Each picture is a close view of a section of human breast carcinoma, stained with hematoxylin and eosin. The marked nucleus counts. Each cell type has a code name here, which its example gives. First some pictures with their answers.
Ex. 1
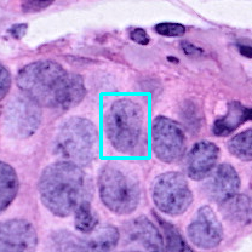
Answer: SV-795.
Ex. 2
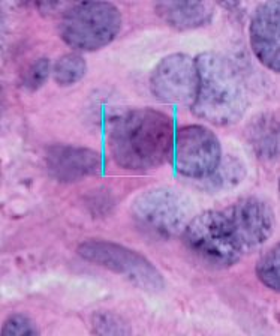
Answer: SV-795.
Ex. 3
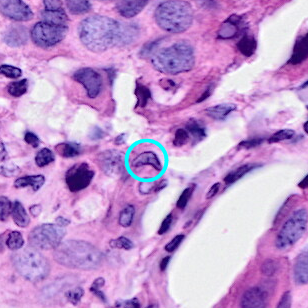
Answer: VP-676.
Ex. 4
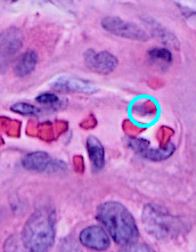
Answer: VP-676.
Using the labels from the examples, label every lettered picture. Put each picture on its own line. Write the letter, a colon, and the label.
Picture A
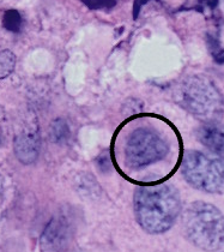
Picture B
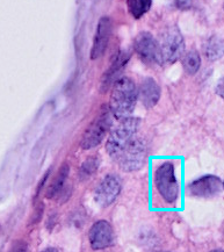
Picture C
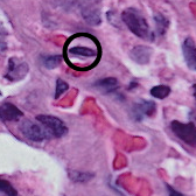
A: SV-795.
B: SV-795.
C: VP-676.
